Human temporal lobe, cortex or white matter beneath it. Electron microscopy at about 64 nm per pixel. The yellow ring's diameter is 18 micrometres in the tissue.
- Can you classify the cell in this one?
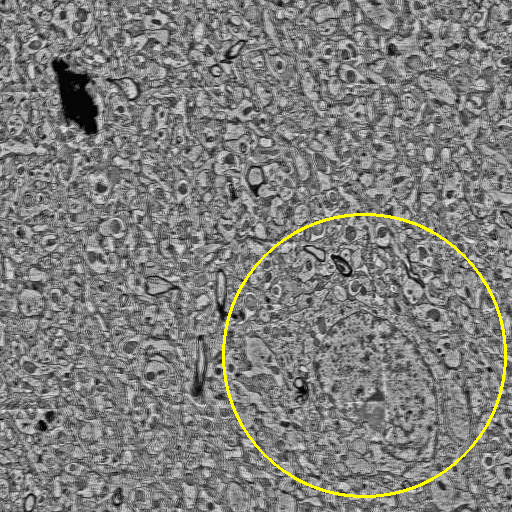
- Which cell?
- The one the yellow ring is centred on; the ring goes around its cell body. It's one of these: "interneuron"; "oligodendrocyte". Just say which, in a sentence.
The cell body in the ring belongs to an interneuron.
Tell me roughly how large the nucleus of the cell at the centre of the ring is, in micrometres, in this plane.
Roughly 11 by 7 micrometres in this plane, for the nucleus of the ringed cell.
